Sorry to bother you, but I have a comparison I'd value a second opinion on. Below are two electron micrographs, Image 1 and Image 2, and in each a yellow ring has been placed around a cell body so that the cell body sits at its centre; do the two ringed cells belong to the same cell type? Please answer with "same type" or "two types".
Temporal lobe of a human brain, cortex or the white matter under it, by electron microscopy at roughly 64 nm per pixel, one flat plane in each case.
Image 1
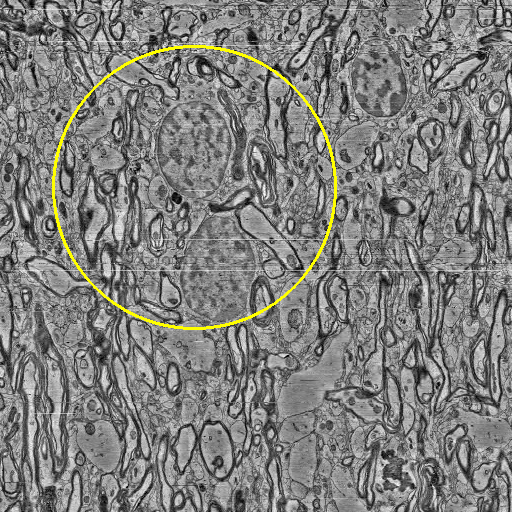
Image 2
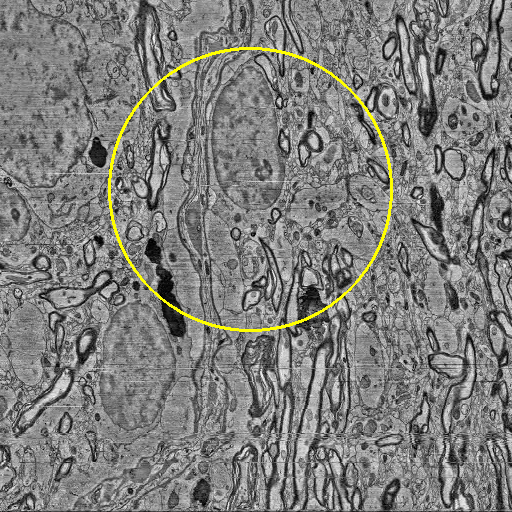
same type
